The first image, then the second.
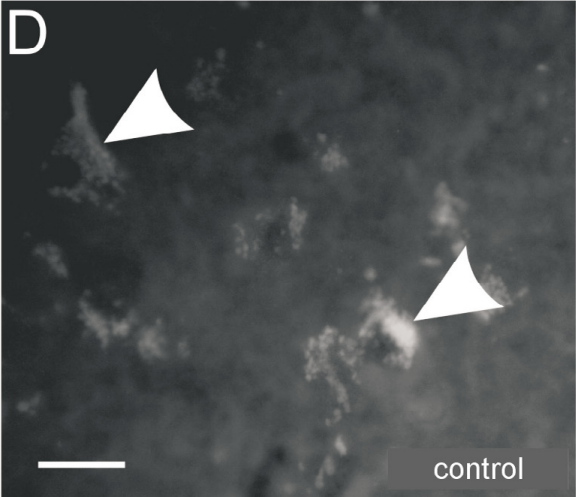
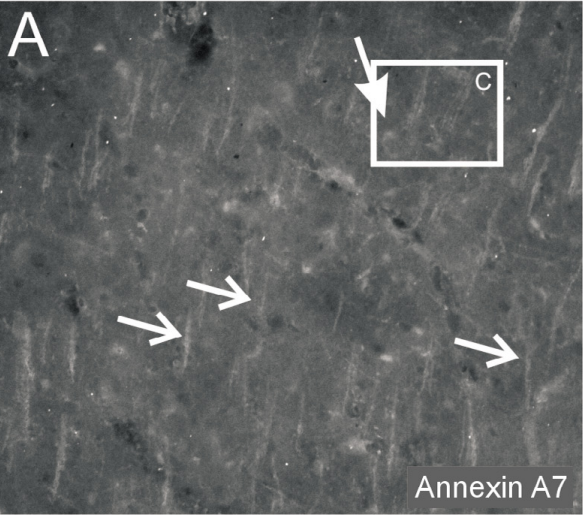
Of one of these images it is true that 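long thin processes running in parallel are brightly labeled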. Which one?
the second image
